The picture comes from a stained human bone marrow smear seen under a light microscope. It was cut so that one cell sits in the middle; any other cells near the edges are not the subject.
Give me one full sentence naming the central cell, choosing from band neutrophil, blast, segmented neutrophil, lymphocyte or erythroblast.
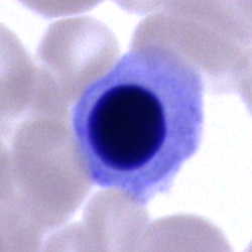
The cell at the central position in this crop is an erythroblast.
